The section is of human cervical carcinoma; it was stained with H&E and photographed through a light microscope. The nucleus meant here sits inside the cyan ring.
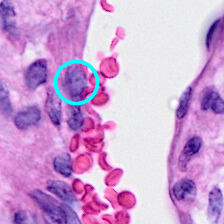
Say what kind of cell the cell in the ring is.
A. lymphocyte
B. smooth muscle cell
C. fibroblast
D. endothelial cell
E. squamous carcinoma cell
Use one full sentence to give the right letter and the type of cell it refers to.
Since the cell in the ring is an endothelial cell, option D is correct.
